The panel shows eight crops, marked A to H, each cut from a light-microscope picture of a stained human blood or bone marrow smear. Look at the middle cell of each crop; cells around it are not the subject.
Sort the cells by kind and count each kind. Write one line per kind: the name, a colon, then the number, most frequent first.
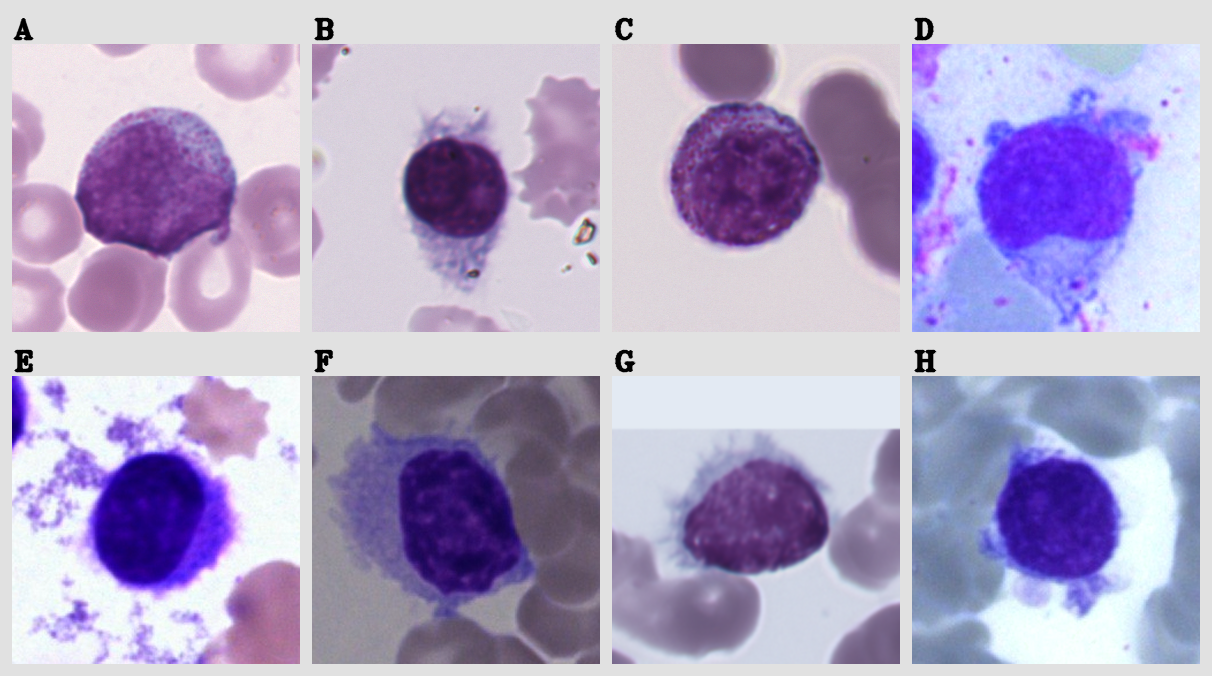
hairy cell: 6
promyelocyte: 2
